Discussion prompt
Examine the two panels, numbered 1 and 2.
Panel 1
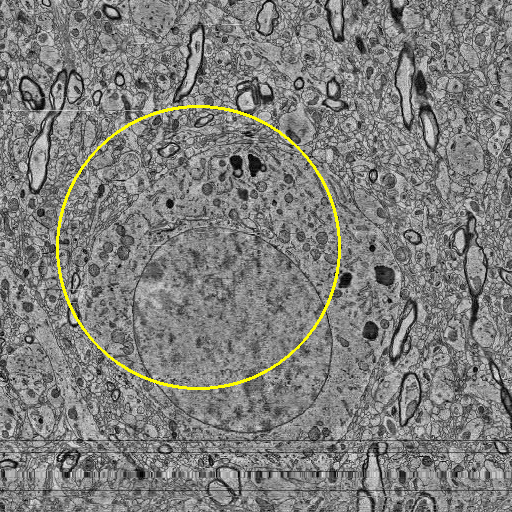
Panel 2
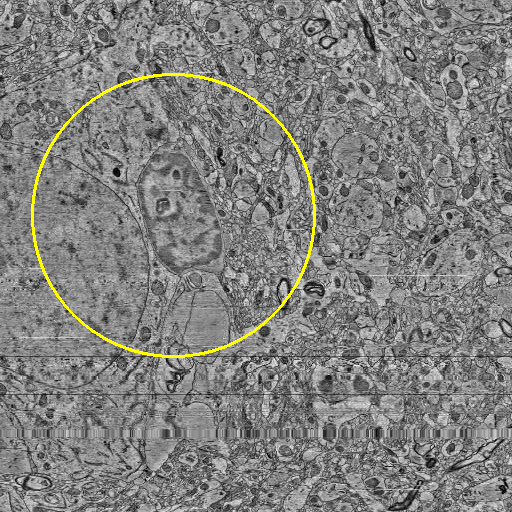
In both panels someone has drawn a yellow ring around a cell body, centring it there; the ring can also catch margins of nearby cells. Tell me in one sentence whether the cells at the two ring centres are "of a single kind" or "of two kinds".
Taken together, the two cells centred in the rings of Panels 1 and 2 are of two kinds.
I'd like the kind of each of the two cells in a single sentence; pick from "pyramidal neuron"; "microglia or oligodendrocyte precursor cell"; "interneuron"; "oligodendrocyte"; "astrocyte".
The first ring marks a pyramidal neuron, and the second ring marks an oligodendrocyte.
